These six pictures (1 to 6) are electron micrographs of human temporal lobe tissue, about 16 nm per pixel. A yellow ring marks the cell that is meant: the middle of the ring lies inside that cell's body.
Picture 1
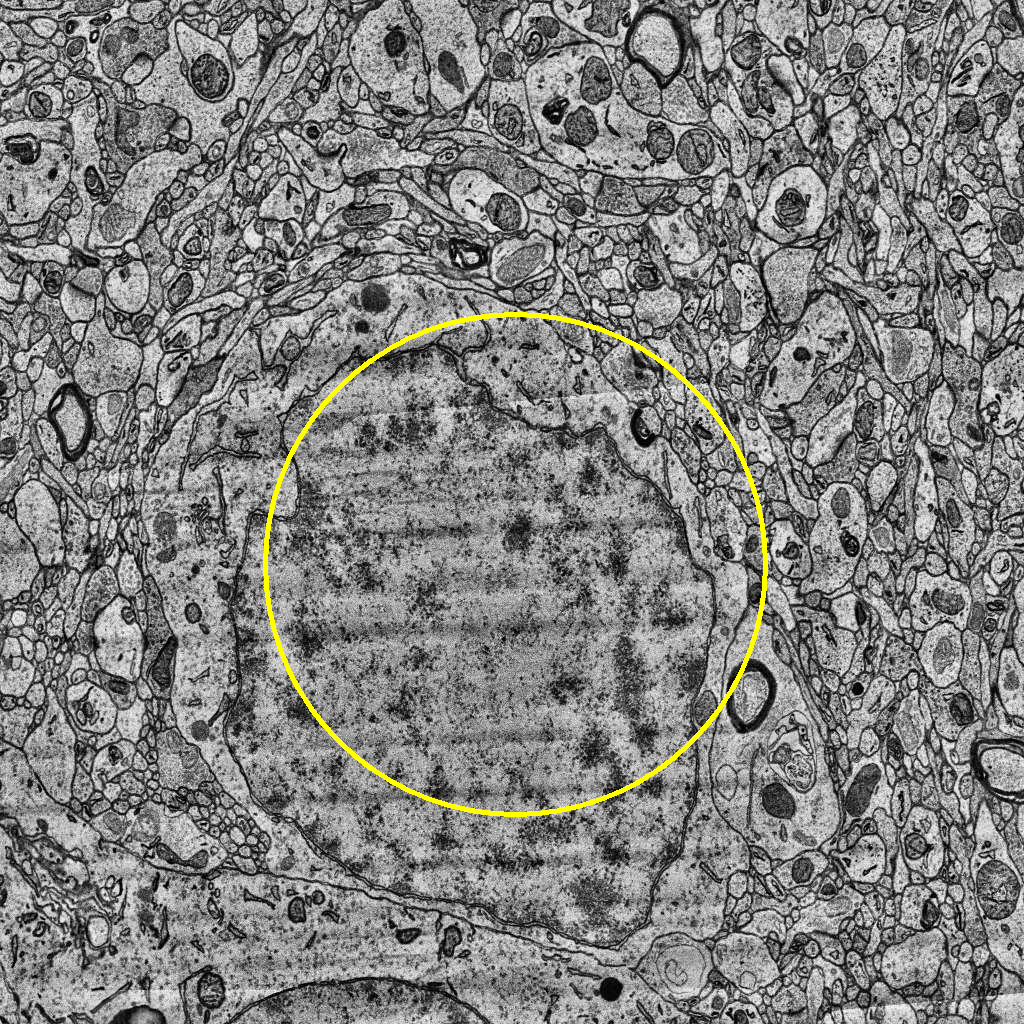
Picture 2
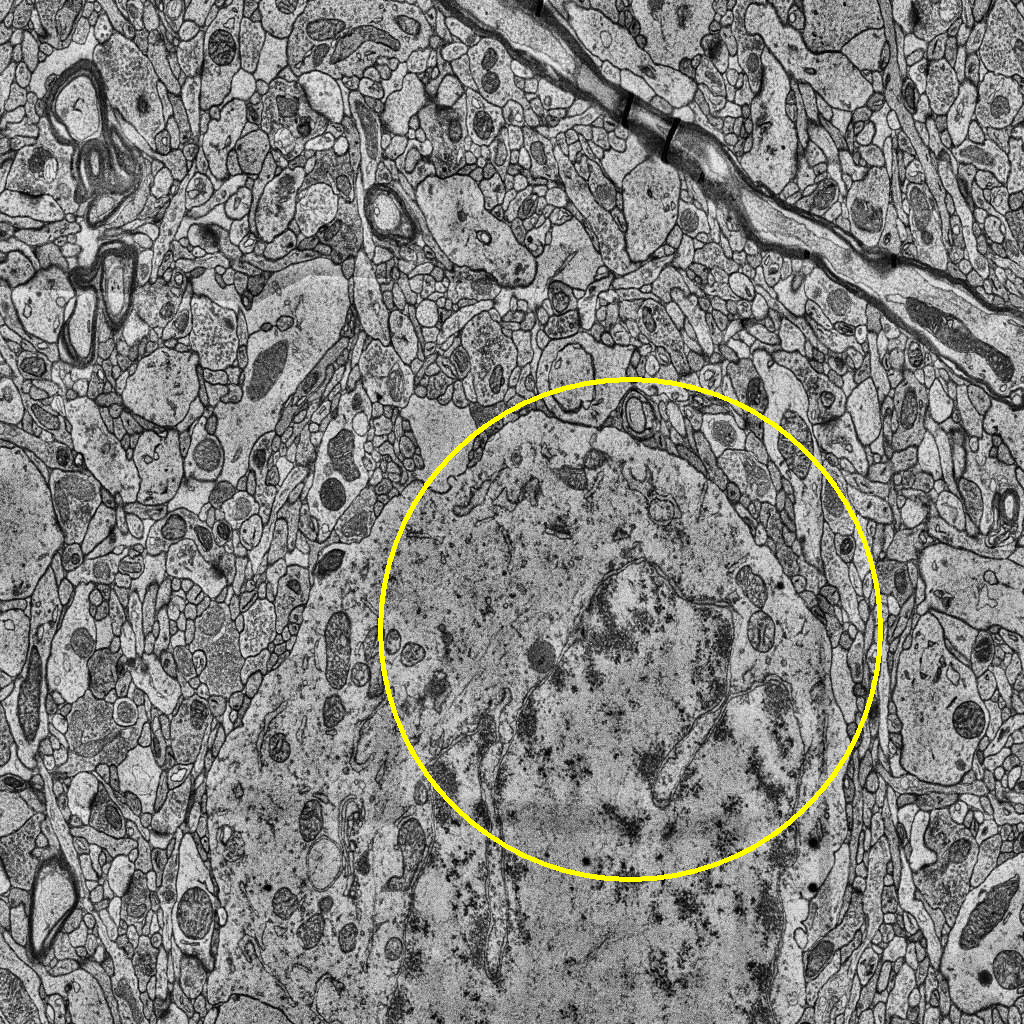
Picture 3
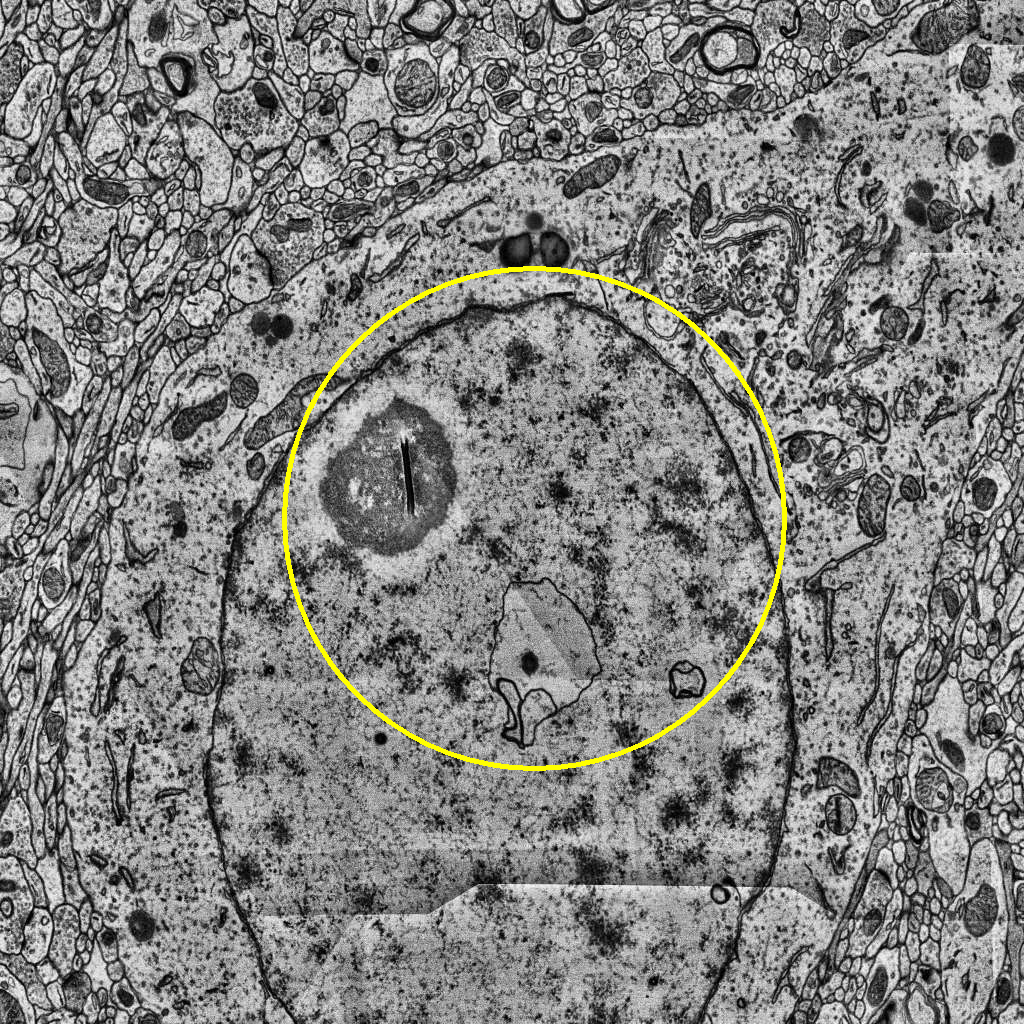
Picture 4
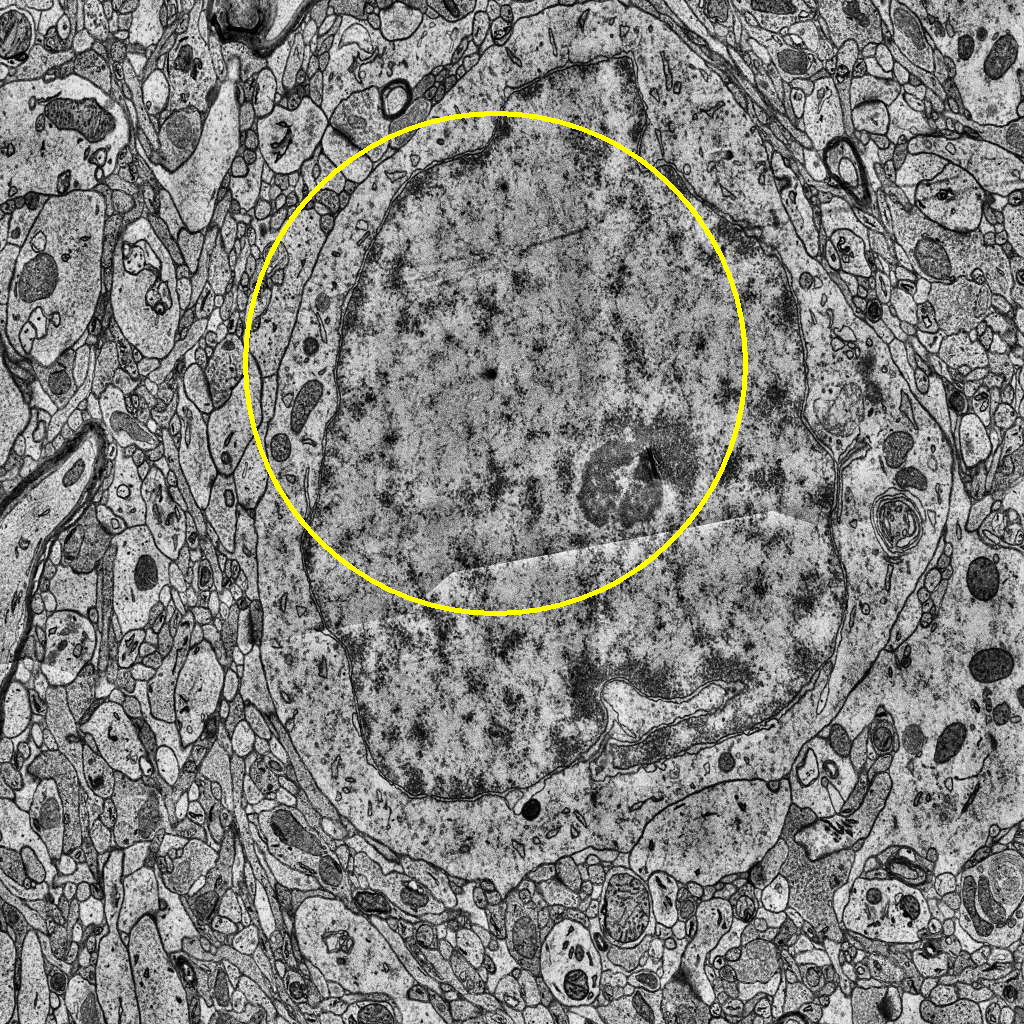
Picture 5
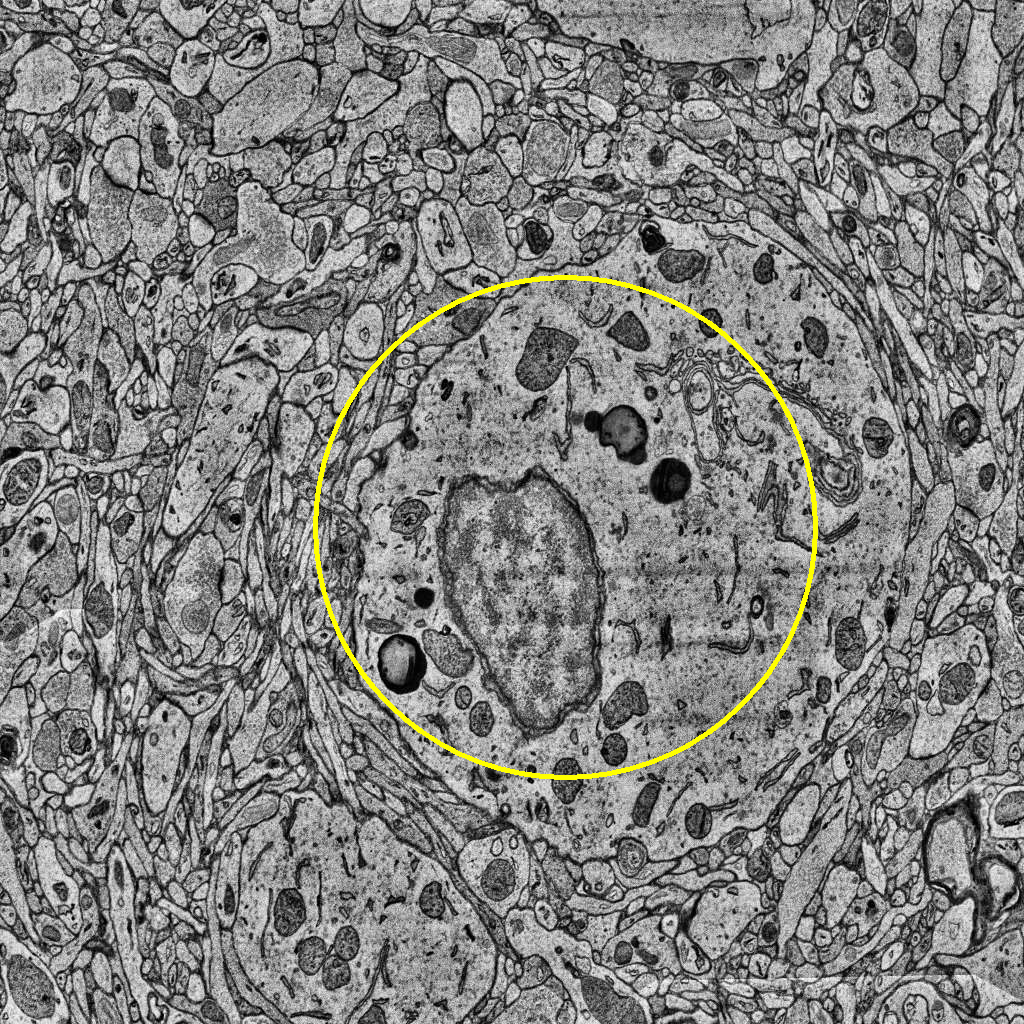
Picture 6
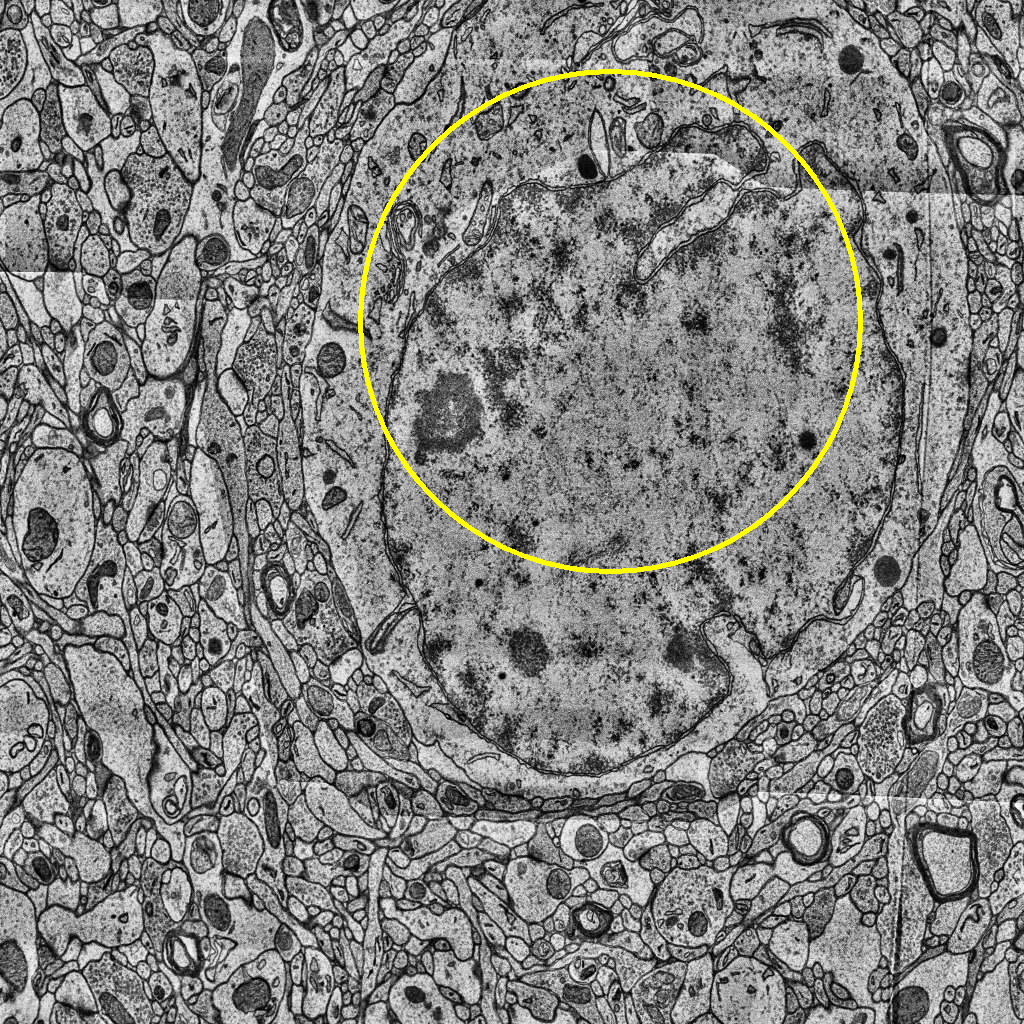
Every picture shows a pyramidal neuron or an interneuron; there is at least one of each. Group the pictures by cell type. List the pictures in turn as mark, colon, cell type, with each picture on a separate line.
1: interneuron
2: interneuron
3: pyramidal neuron
4: interneuron
5: pyramidal neuron
6: interneuron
